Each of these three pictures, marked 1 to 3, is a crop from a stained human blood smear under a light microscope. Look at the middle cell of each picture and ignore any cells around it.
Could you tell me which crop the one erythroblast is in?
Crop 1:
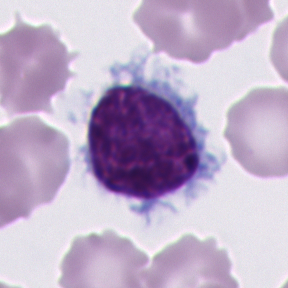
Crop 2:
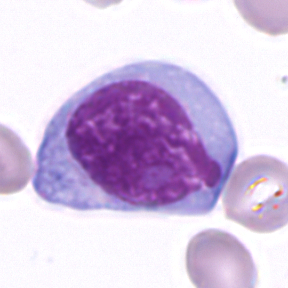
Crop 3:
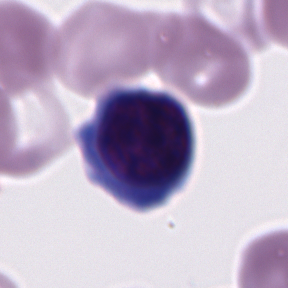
3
